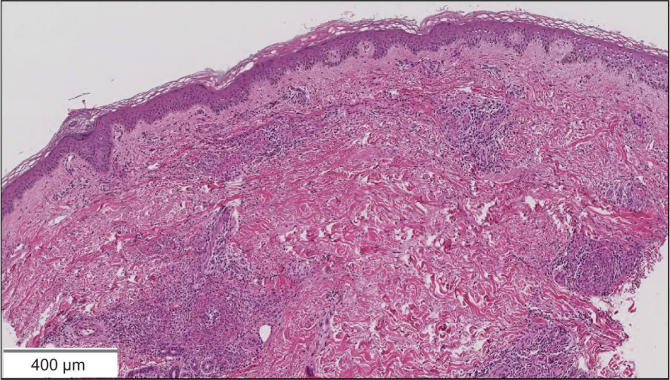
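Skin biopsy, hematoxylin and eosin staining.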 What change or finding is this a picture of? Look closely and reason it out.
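Dark purple cellular clusters are scattered through the dermis beneath the epidermis. On this evidence: inflammatory cell infiltration.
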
